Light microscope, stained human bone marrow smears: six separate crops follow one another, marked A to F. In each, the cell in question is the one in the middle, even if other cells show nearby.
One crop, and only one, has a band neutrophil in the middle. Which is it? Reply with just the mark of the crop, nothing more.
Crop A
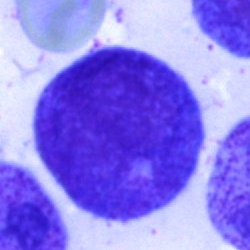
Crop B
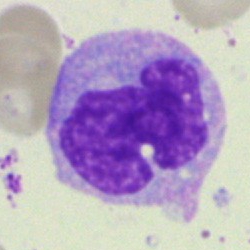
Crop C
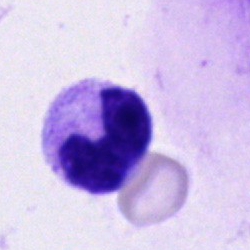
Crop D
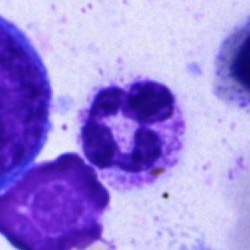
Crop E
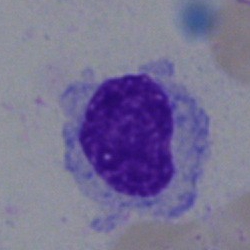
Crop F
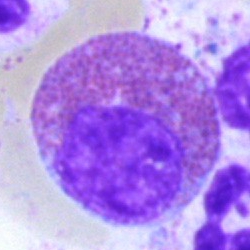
C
